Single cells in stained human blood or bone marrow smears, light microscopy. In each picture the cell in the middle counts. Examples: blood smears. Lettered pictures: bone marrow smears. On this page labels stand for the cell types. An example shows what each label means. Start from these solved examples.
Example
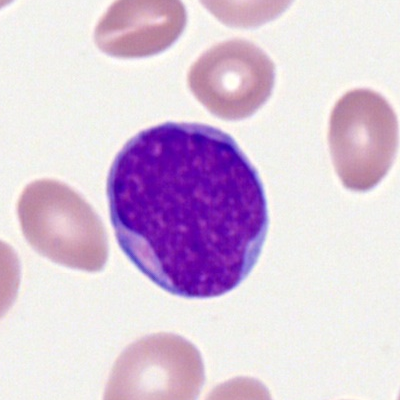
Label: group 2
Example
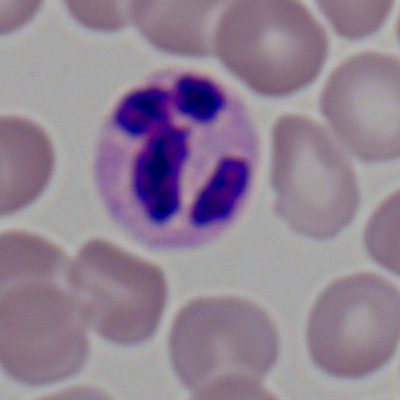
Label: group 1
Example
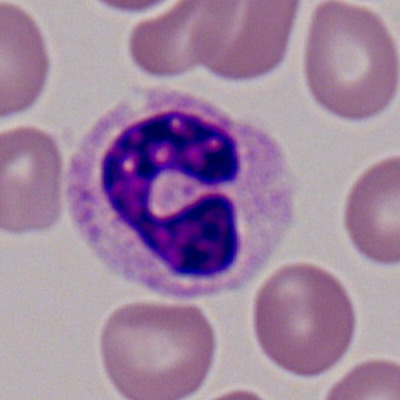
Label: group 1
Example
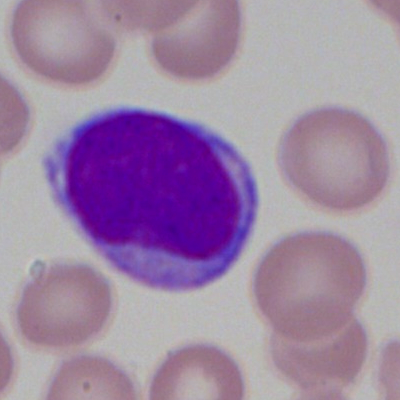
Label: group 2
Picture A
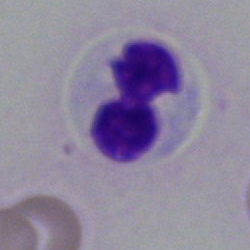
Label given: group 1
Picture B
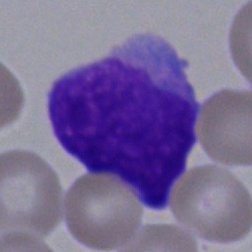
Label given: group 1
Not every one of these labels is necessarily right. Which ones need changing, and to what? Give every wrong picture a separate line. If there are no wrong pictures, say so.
B: group 2, not group 1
